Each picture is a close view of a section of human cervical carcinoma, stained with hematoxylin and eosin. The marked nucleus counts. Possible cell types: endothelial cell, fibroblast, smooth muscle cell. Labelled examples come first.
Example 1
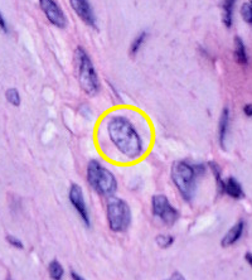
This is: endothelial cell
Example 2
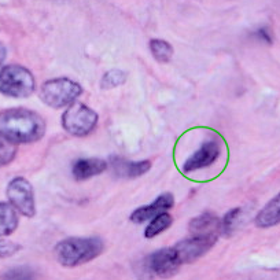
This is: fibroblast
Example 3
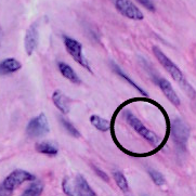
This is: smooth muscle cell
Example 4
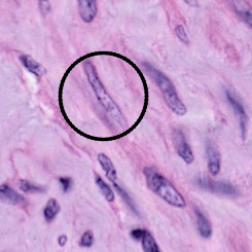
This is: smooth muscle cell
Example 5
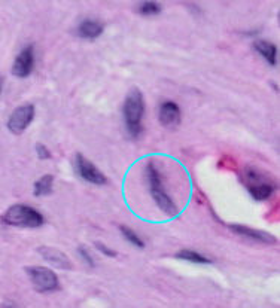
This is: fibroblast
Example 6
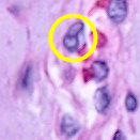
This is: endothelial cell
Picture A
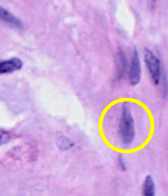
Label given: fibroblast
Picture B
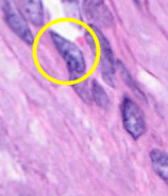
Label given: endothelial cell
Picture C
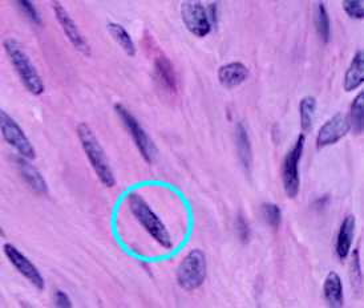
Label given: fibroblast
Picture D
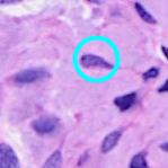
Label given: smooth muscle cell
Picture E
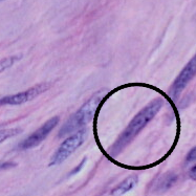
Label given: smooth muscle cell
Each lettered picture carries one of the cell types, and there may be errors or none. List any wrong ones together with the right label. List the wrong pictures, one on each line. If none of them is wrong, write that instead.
D should be fibroblast, not smooth muscle cell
